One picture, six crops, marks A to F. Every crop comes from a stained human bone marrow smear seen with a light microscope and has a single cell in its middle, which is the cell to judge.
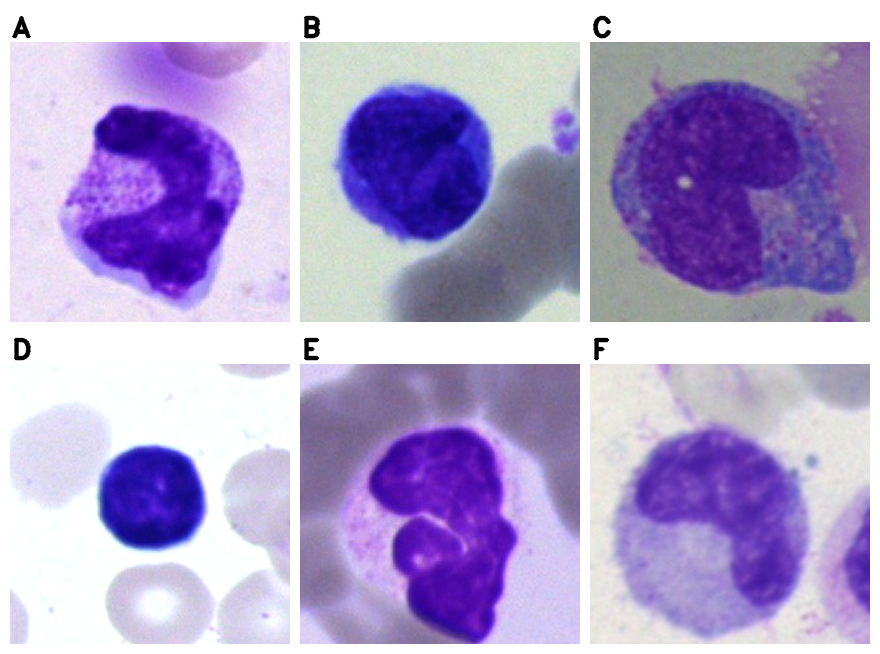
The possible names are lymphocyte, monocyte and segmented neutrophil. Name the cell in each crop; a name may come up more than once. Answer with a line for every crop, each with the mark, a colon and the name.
A: segmented neutrophil
B: monocyte
C: monocyte
D: lymphocyte
E: segmented neutrophil
F: monocyte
